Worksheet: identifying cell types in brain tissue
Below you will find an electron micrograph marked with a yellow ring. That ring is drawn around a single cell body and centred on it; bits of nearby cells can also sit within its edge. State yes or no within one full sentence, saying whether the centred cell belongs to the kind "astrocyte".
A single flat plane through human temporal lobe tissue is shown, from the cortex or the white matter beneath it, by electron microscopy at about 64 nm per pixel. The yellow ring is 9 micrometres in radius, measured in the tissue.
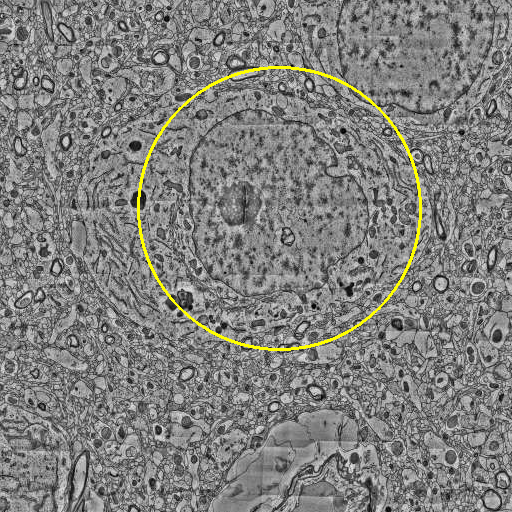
No, the cell sitting at the centre of the yellow ring in this picture is of another kind.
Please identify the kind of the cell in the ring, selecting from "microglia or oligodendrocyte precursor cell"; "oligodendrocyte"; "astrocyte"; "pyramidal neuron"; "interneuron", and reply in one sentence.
The cell that the ring is centred on is an interneuron.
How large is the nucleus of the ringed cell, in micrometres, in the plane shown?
Roughly 12 micrometers across, in this plane.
